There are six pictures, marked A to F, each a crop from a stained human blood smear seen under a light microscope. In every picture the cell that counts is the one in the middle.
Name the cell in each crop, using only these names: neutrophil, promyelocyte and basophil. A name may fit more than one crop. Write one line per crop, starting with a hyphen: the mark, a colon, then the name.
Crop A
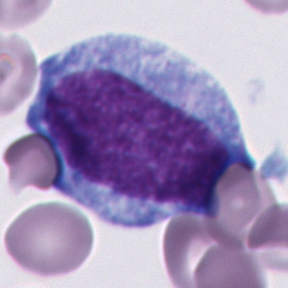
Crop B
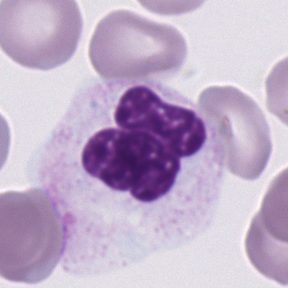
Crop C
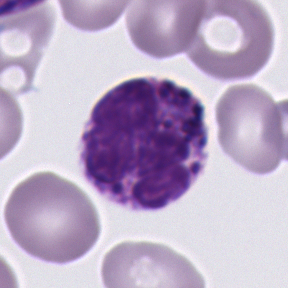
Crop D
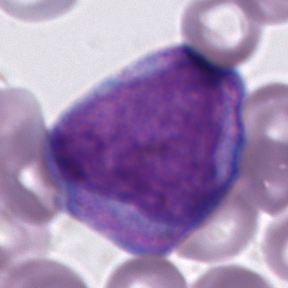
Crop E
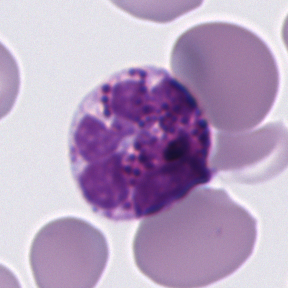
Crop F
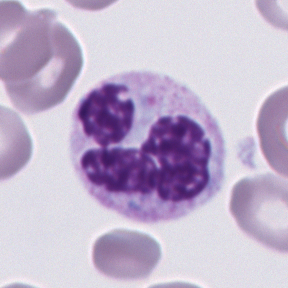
- A: promyelocyte
- B: neutrophil
- C: basophil
- D: promyelocyte
- E: basophil
- F: neutrophil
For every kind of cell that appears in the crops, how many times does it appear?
promyelocyte: 2
neutrophil: 2
basophil: 2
